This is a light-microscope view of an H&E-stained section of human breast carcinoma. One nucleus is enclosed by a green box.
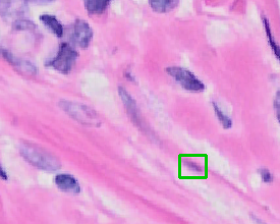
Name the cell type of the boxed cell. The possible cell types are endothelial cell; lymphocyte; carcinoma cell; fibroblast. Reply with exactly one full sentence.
Right, so the boxed cell is a fibroblast, to answer that.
